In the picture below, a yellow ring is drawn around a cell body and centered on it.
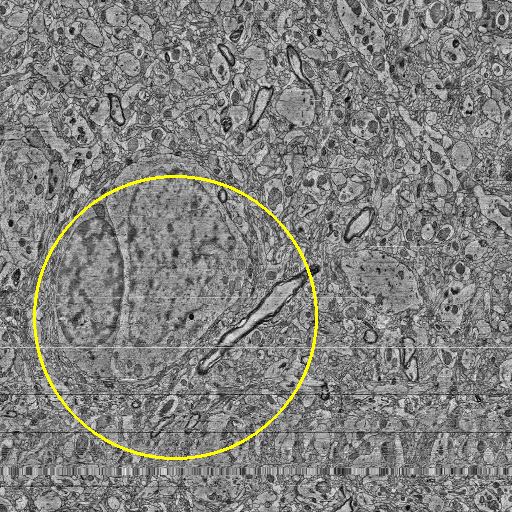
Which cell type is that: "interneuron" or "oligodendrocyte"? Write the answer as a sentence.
The cell centered in the ring is an interneuron.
